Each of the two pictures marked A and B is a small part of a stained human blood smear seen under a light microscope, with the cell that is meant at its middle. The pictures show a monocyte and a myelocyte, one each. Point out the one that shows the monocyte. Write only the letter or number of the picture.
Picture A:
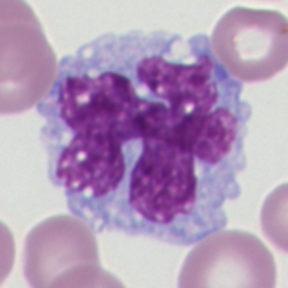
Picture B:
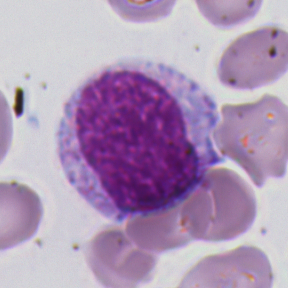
A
